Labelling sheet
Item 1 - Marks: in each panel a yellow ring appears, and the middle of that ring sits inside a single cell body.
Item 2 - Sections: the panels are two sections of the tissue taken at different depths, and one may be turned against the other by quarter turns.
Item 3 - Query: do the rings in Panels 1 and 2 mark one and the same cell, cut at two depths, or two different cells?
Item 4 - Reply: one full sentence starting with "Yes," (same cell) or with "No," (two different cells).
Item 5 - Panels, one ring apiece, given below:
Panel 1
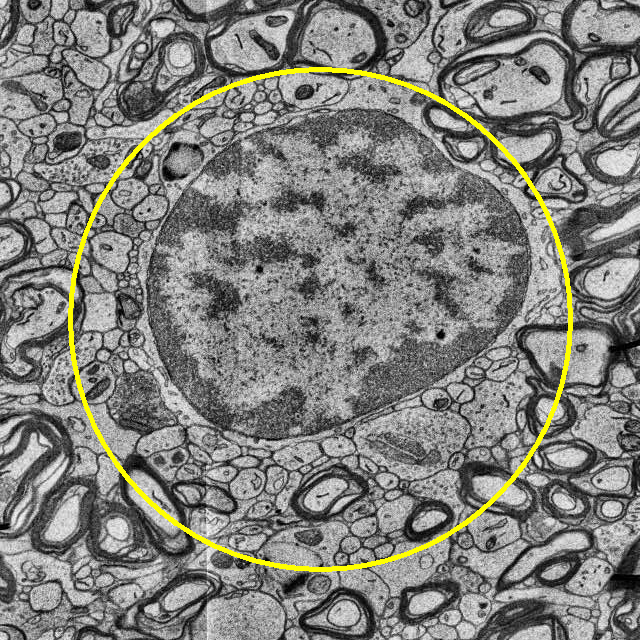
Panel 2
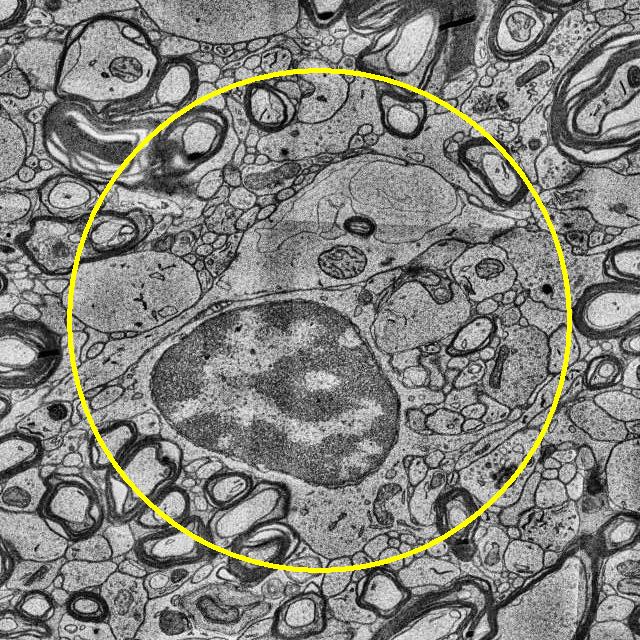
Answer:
Yes, the same individual cell is enclosed by both rings.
